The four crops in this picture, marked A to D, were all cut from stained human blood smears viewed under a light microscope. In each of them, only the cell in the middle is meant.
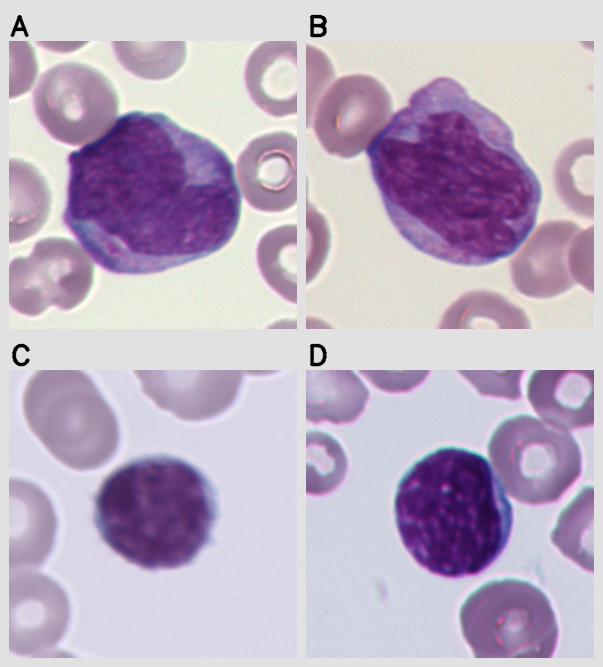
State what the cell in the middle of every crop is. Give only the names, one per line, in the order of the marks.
atypical promyelocyte
atypical promyelocyte
typical lymphocyte
typical lymphocyte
